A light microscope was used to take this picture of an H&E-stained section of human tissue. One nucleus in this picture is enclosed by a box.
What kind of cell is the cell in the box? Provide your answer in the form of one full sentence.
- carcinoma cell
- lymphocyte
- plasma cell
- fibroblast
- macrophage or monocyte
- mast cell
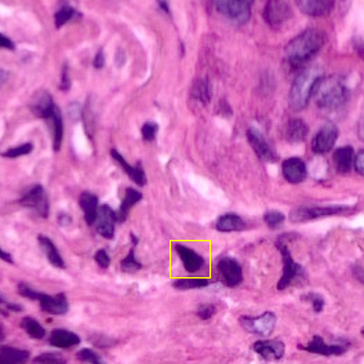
In the tissue under study, the cell in the box is a plasma cell.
